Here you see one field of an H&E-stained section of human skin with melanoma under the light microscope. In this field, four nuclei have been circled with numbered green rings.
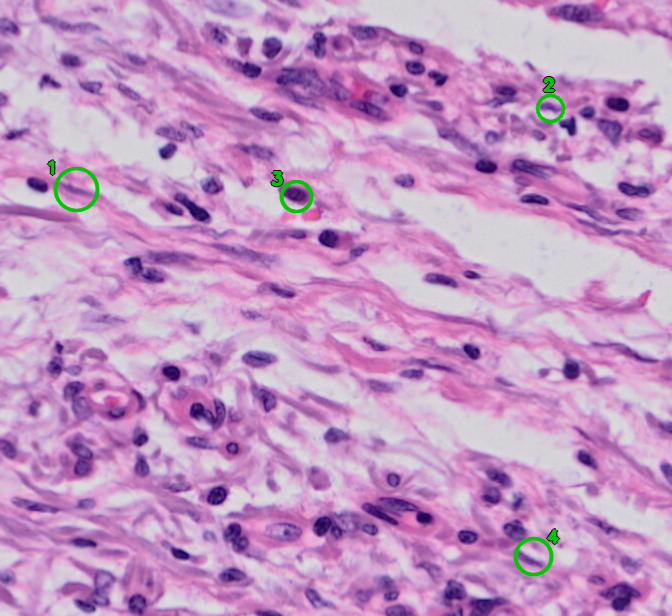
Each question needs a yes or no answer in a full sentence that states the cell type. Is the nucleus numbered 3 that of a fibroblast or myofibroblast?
No, cell 3 counts as a plasma cell rather than as a fibroblast or myofibroblast.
